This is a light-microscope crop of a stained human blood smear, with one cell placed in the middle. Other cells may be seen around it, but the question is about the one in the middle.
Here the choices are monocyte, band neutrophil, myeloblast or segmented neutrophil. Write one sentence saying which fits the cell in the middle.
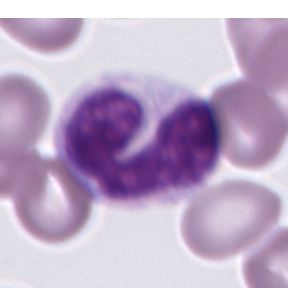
Standing at the centre of this crop is a segmented neutrophil.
